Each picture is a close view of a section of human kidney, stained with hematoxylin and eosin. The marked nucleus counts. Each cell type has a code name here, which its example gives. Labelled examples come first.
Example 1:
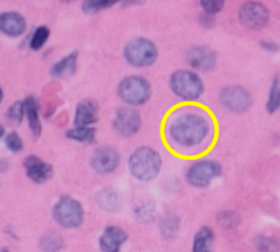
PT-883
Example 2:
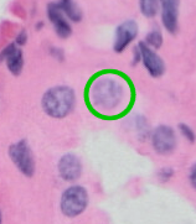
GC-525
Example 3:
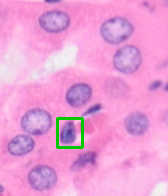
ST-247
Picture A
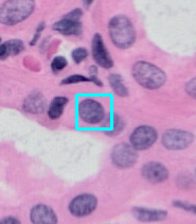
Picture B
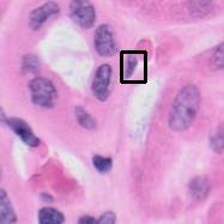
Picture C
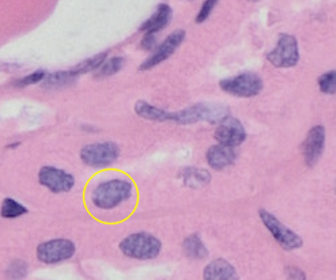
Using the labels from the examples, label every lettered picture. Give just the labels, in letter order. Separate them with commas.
GC-525, ST-247, PT-883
